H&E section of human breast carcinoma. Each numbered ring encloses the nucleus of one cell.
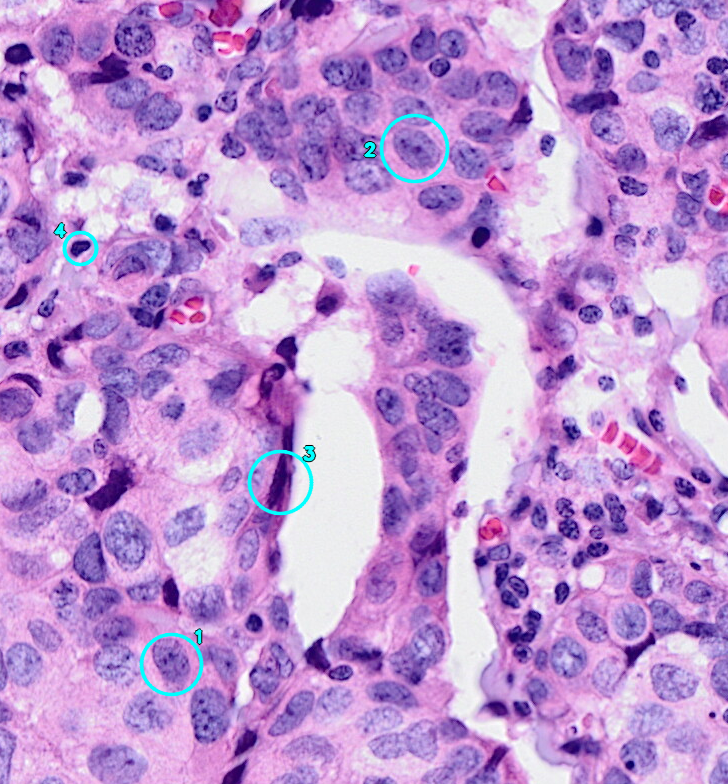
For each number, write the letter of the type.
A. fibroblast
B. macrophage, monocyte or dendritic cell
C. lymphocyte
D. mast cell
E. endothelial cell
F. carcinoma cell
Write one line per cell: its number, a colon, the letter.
1: F
2: F
3: F
4: C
